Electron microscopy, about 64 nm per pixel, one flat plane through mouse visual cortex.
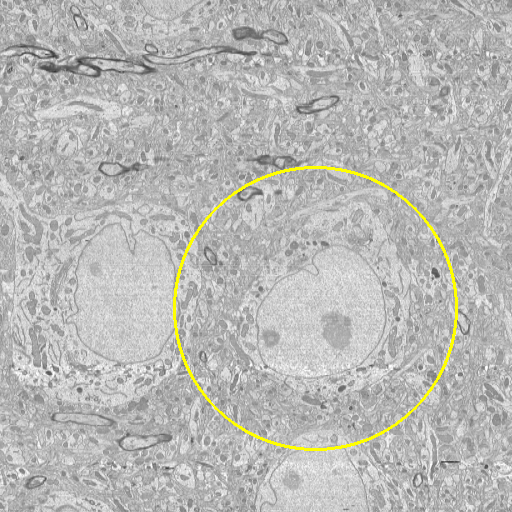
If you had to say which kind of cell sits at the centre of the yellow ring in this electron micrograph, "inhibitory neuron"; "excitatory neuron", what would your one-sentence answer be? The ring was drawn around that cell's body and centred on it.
The cell sitting at the centre of the ring is an excitatory neuron.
